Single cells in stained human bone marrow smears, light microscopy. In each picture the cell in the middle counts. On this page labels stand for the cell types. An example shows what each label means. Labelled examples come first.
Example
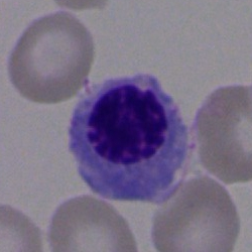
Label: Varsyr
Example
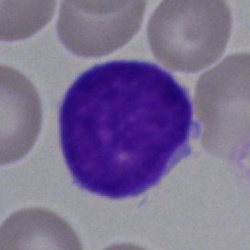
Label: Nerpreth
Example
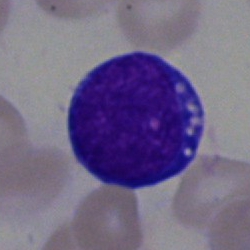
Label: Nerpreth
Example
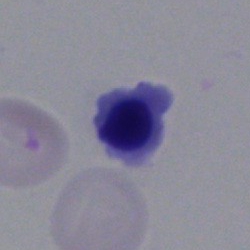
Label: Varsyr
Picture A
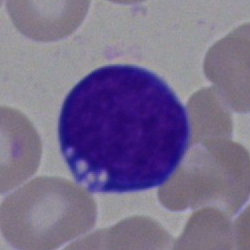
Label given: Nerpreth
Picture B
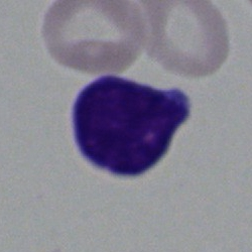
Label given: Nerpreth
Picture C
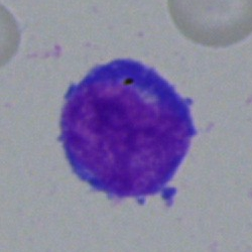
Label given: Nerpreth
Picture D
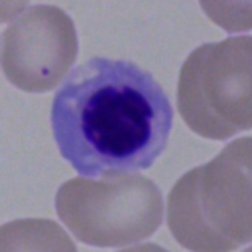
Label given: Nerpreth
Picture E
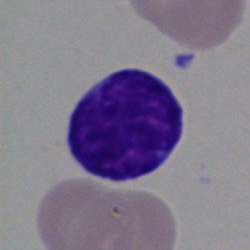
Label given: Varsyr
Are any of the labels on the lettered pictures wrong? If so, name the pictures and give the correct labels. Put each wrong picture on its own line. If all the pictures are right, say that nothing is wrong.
D should be Varsyr, not Nerpreth
E should be Nerpreth, not Varsyr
